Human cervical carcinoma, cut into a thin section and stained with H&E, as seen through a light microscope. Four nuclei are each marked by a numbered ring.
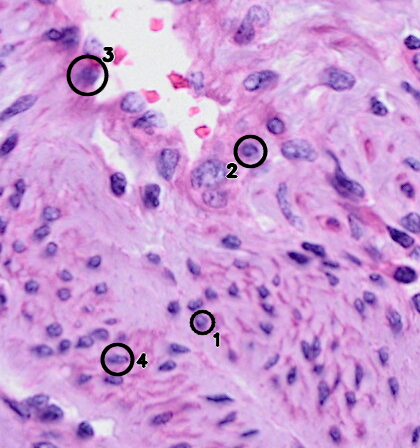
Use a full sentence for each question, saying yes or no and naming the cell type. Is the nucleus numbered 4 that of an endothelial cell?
No, that is wrong: cell 4 is a smooth muscle cell, and not an endothelial cell.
